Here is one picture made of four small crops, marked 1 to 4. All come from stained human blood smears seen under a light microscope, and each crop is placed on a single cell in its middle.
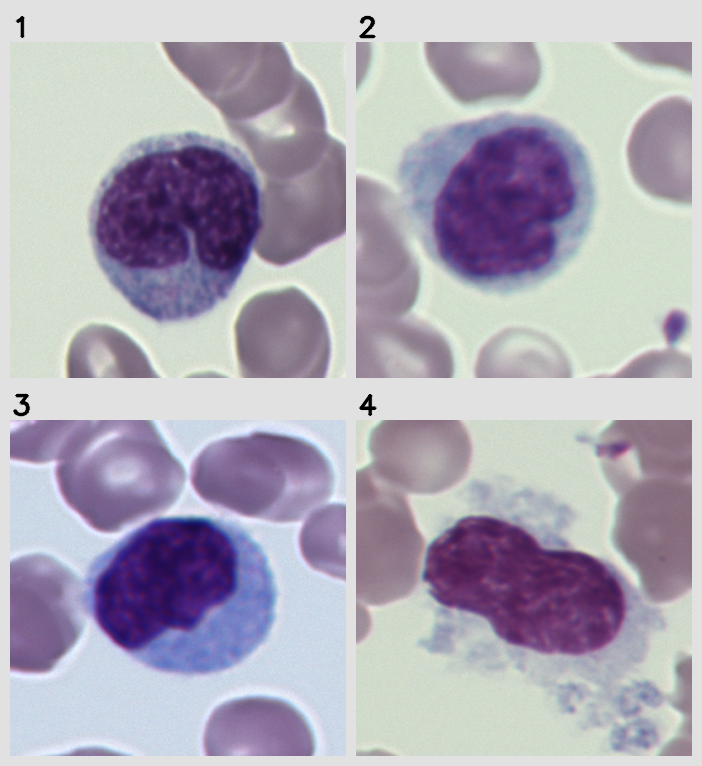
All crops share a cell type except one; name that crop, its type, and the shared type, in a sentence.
Crop 4 differs, its cell being a hairy cell, whereas the other crops show monocytes.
